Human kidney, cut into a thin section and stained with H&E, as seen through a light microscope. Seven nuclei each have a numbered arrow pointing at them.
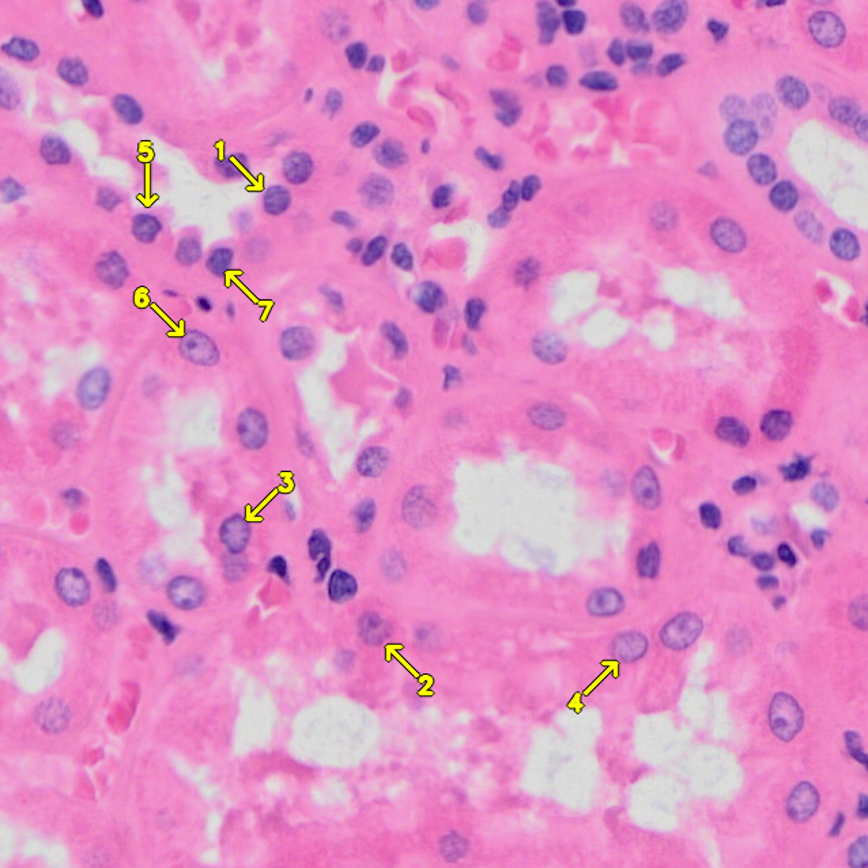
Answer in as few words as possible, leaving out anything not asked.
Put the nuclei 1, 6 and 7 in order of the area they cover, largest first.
6, 1, 7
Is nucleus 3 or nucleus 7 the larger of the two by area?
3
